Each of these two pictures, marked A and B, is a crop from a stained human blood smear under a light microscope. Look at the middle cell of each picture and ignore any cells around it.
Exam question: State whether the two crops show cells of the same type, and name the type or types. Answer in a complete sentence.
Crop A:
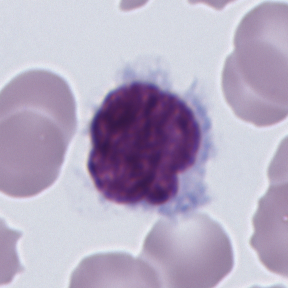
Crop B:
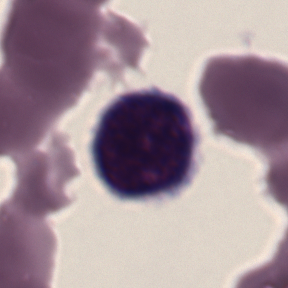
Yes, the central cells of both crops are hairy cells.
